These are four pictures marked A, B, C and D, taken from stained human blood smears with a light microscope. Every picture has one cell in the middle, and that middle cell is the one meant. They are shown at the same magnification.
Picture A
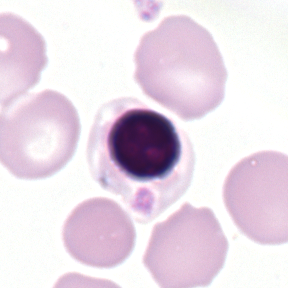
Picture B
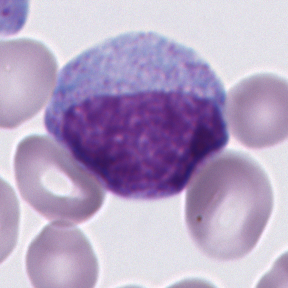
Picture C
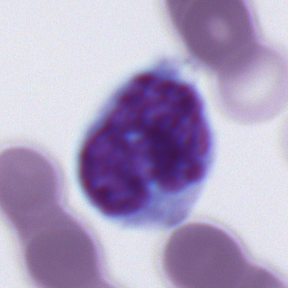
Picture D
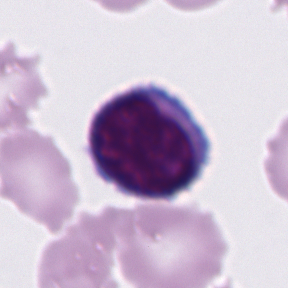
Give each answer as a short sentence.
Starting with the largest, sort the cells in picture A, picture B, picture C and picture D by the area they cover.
From the largest down, the order is B, C, D, A.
